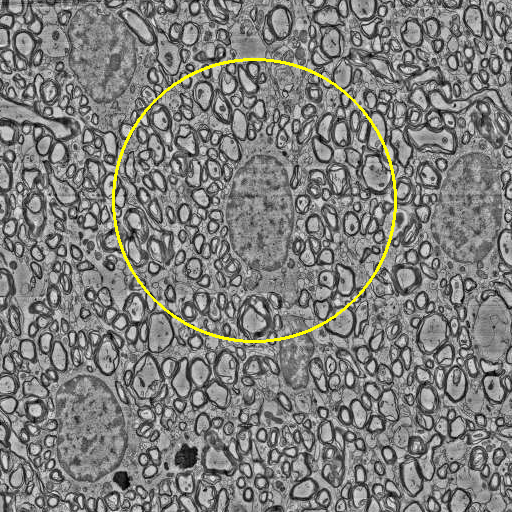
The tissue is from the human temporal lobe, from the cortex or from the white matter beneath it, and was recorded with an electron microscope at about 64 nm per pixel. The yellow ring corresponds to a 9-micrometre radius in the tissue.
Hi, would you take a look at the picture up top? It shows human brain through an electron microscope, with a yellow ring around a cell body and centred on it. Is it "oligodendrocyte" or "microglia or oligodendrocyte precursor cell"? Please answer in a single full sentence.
The best fit for the cell in the middle of the ring is an oligodendrocyte, I reckon.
